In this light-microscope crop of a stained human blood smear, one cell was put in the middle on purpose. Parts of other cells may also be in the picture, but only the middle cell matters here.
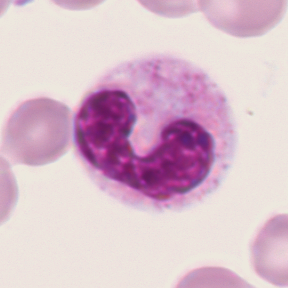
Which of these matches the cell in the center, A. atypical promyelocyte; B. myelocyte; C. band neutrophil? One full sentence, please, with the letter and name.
Option C is correct in naming the middle cell a band neutrophil.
